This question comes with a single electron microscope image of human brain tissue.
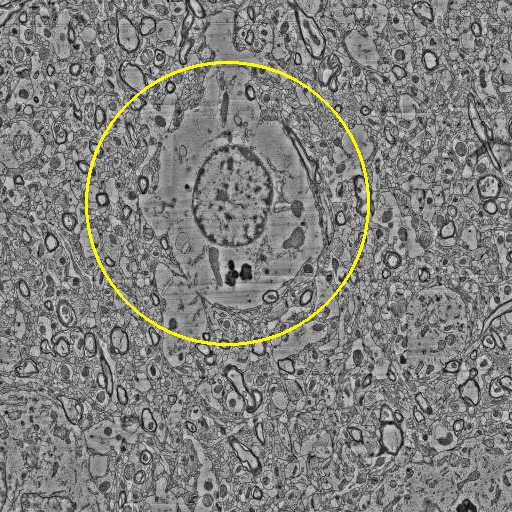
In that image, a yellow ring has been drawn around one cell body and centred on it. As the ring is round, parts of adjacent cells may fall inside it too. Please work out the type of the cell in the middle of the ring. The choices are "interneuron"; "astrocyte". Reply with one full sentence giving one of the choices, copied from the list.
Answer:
Of the choices, an astrocyte is the cell sitting in the middle of the ring.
